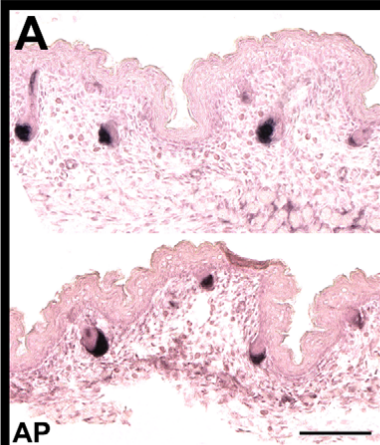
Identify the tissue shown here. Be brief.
Skin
